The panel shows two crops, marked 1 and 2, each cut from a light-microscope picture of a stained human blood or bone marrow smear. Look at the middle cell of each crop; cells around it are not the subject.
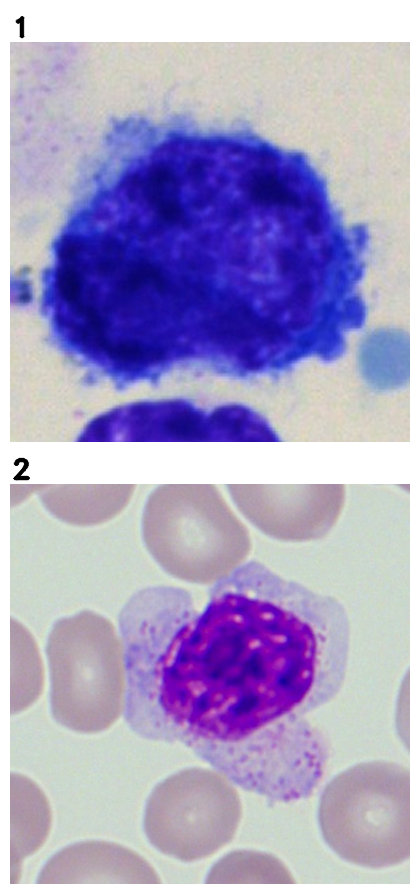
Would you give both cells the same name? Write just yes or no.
no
